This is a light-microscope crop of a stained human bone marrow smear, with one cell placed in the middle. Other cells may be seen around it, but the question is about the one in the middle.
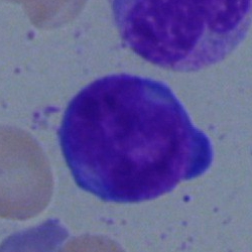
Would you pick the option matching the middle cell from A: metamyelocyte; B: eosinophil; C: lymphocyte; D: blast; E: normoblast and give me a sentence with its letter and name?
Here the central cell is a blast, and option D is correct.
